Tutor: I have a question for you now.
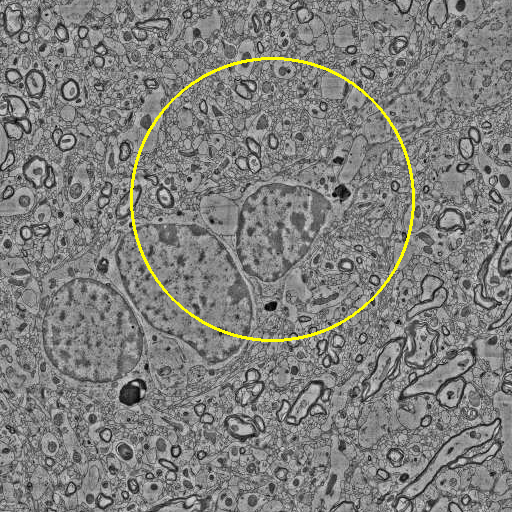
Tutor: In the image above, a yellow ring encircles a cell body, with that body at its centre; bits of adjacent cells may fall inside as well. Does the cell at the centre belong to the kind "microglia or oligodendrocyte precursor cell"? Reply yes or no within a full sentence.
Yes, the cell at the centre of the yellow ring in the picture is of that kind.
